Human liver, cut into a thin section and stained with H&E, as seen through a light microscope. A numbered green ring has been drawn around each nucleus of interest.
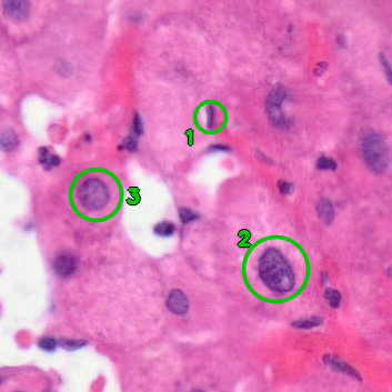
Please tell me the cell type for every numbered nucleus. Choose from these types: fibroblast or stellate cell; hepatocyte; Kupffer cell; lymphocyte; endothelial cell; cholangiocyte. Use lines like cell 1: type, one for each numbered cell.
cell 1: fibroblast or stellate cell
cell 2: hepatocyte
cell 3: hepatocyte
